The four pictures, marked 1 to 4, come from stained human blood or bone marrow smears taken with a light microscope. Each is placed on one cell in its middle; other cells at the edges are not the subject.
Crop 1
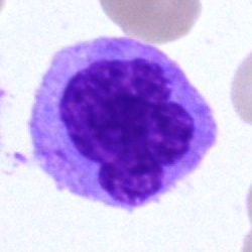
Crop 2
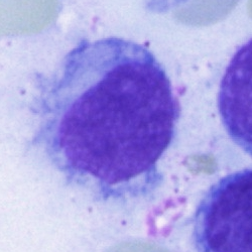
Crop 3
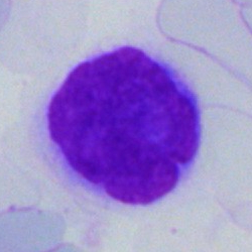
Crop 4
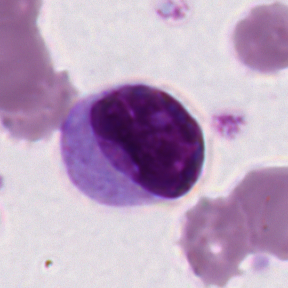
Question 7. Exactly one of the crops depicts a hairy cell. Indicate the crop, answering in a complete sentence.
The crop with a hairy cell in it is crop 2.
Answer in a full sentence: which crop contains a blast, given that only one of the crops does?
On review of the set, crop 3 is the one showing a blast.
